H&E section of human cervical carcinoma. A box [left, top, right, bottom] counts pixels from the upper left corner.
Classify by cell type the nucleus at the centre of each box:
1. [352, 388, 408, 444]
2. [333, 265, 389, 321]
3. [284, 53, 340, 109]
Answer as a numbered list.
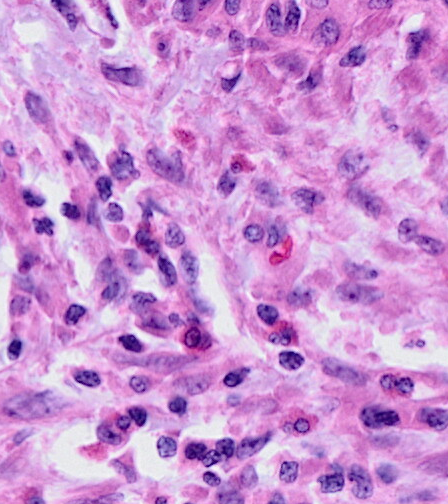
1. lymphocyte
2. fibroblast
3. fibroblast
